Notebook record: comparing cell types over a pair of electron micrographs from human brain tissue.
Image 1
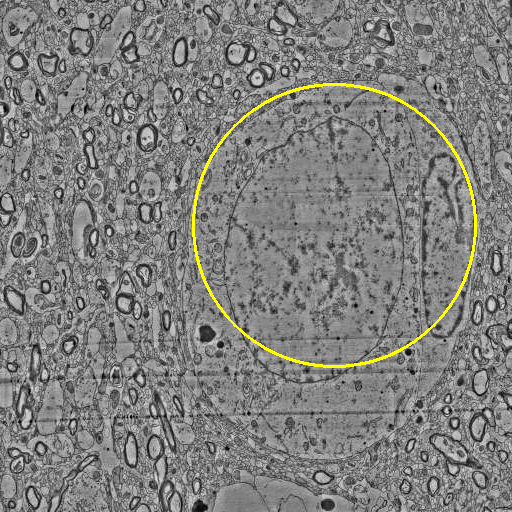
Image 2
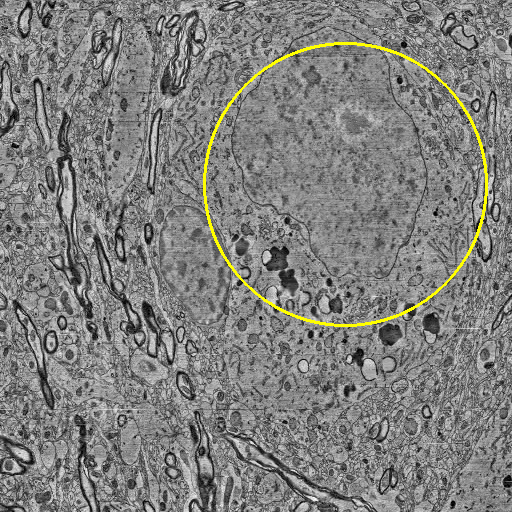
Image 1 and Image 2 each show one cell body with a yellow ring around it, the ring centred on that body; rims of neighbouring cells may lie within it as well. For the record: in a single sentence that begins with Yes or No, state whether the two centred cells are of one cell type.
Yes, one cell type is shared by the centred cells of Image 1 and Image 2.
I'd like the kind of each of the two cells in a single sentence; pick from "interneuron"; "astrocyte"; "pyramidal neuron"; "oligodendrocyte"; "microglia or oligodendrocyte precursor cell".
Both cells are the same kind, each one being a pyramidal neuron.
